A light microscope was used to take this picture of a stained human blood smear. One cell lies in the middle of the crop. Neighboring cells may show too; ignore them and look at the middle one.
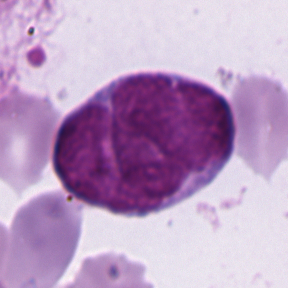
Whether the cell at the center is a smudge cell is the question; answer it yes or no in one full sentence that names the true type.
No, at the centre of this crop is found a myeloblast instead of a smudge cell.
